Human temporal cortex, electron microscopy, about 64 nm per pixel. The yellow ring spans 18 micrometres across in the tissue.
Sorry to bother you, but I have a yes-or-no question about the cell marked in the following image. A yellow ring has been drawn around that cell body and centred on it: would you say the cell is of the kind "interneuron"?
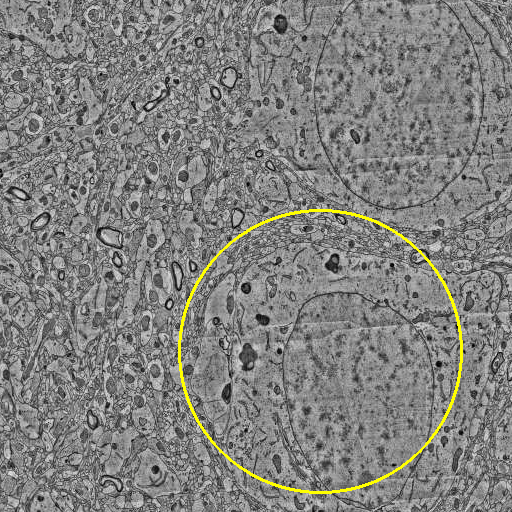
no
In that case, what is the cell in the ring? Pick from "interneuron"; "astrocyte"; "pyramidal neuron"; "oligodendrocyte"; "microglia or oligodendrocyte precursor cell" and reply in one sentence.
The answer is that the ringed cell is a pyramidal neuron.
